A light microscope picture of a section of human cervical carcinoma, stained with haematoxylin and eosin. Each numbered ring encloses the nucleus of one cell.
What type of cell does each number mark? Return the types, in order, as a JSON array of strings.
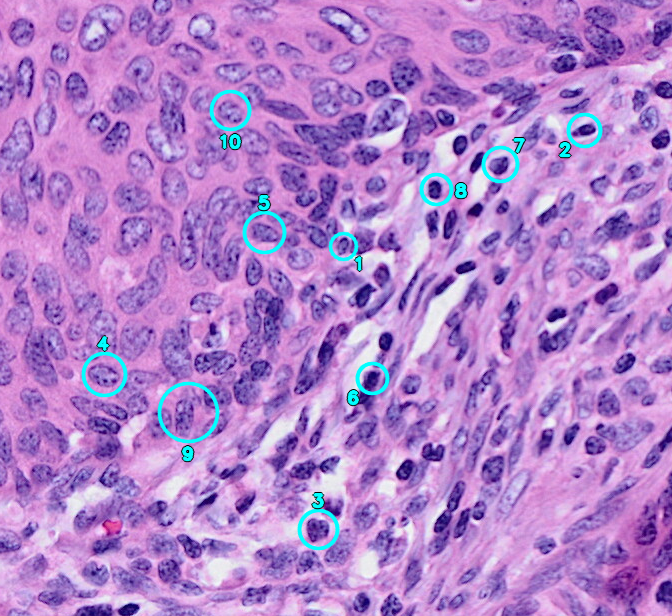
["lymphocyte", "lymphocyte", "lymphocyte", "squamous carcinoma cell", "squamous carcinoma cell", "lymphocyte", "lymphocyte", "lymphocyte", "squamous carcinoma cell", "squamous carcinoma cell"]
